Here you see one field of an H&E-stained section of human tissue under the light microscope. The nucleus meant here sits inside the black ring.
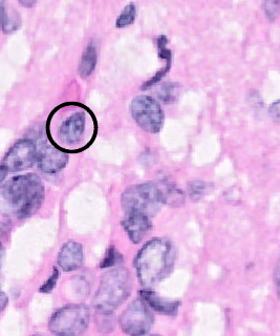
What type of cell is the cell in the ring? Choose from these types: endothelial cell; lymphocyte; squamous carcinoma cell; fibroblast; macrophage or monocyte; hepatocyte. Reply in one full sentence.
As for its identity, the cell in the ring is an endothelial cell.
